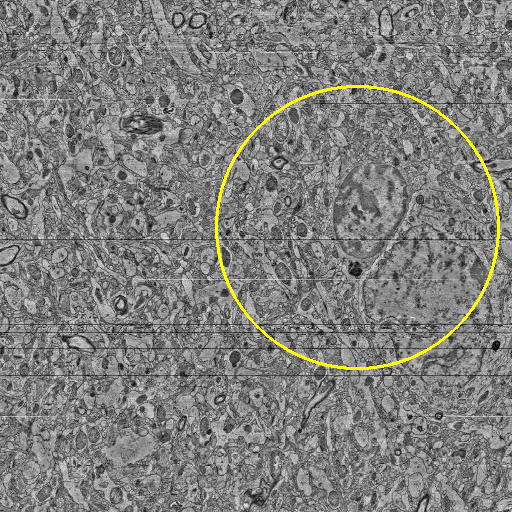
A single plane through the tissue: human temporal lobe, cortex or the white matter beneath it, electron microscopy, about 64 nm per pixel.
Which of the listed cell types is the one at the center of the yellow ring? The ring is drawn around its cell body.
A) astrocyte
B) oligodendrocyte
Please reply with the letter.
B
